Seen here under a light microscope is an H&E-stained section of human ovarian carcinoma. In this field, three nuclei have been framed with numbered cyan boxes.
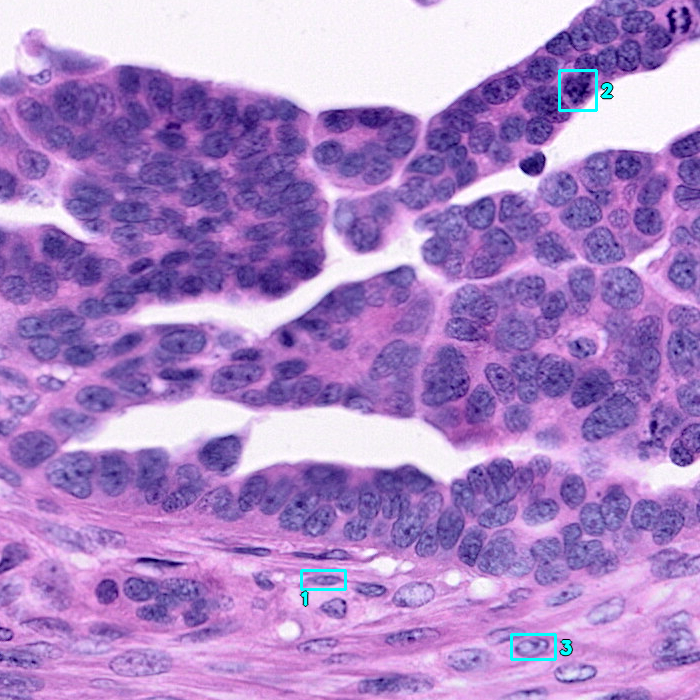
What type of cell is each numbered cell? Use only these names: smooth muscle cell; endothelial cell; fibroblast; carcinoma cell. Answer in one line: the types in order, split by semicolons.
fibroblast; carcinoma cell; fibroblast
